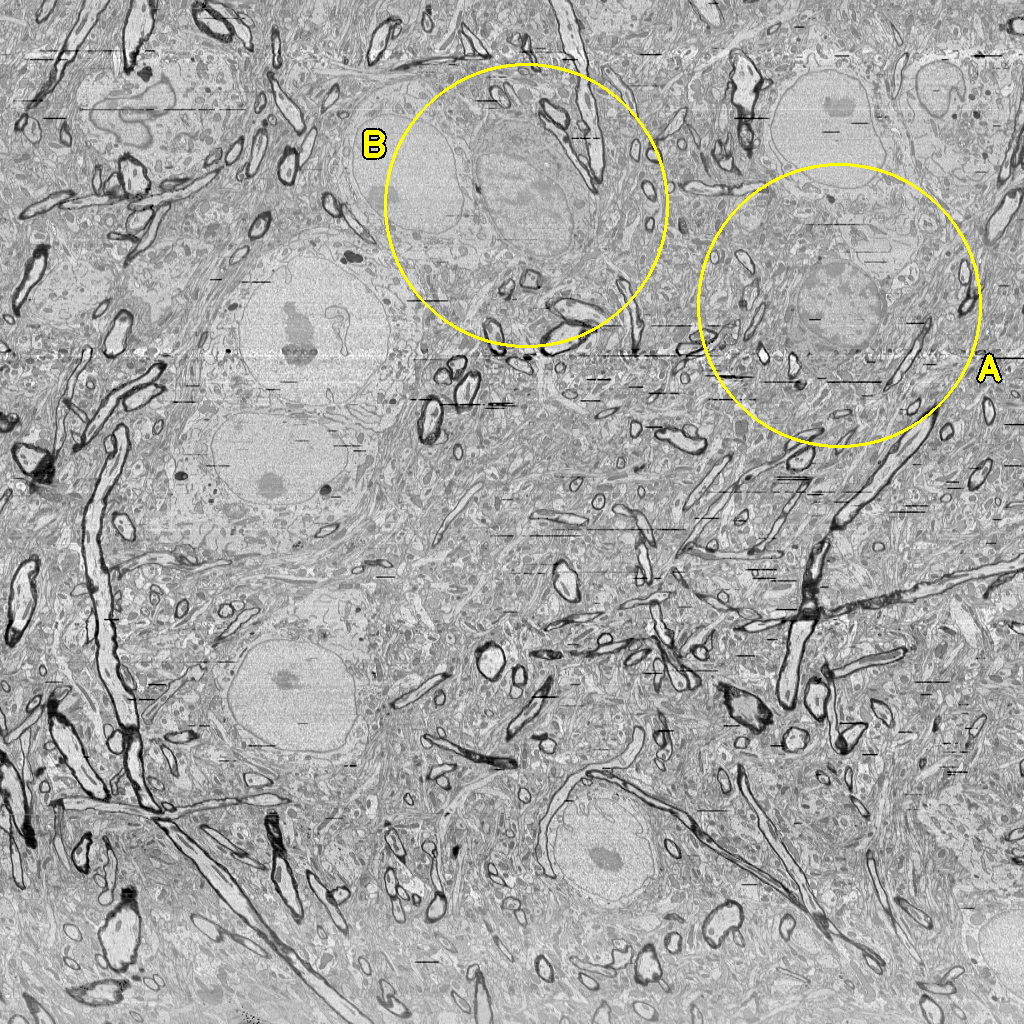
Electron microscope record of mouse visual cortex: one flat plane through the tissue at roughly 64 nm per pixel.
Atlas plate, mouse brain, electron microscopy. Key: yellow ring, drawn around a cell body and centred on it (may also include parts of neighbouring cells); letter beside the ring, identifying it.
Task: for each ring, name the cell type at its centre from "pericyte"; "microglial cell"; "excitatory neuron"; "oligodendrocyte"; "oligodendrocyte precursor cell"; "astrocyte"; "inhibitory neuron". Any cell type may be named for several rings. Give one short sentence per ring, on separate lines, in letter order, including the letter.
Ring A is centred over an oligodendrocyte.
Ring B is centred over an oligodendrocyte.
